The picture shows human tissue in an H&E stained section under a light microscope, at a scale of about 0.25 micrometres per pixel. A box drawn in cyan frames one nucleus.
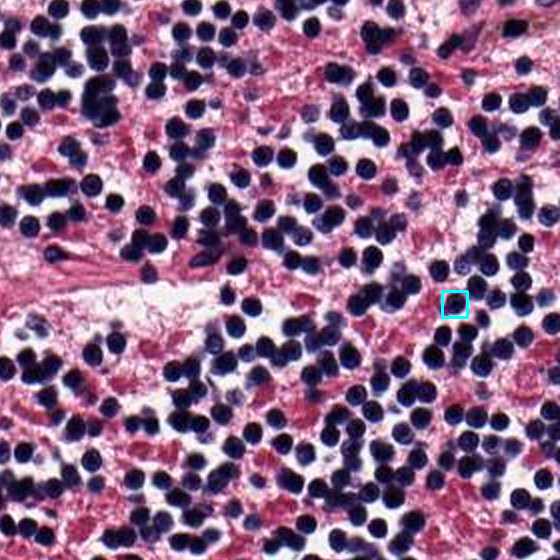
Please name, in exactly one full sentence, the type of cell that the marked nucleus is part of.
The owner of the marked nucleus is a cerebellar granule cell.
